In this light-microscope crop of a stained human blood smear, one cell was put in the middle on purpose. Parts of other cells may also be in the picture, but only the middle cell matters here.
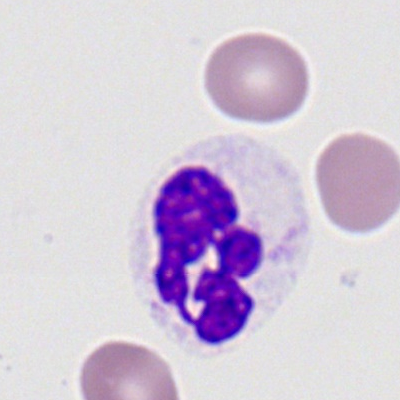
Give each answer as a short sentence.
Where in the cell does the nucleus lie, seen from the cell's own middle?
The nucleus is pushed toward the lower left of the cell.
